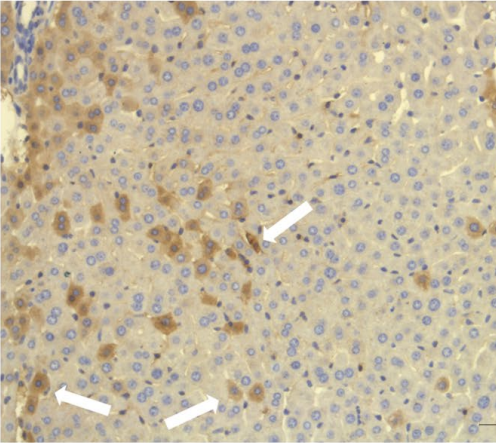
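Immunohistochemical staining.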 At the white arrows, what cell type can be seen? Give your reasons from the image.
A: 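Hepatocytes. The arrowed cells are large and polygonal with round central nuclei. The arrowed cells have brown-stained cytoplasm. The brown cells lie singly and in small clusters among unstained liver cells of the same shape.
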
